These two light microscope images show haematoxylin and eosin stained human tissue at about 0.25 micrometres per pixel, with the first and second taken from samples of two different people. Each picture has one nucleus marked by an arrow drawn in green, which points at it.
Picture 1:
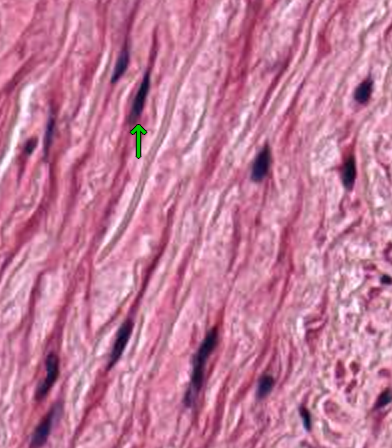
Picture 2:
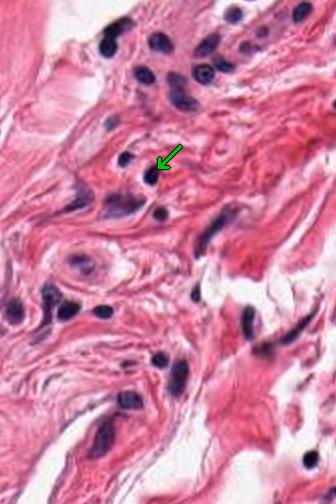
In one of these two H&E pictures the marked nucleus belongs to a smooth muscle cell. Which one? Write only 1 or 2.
1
